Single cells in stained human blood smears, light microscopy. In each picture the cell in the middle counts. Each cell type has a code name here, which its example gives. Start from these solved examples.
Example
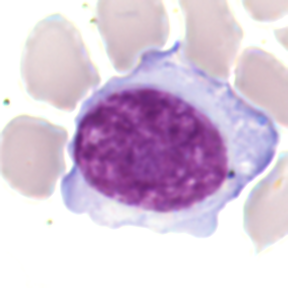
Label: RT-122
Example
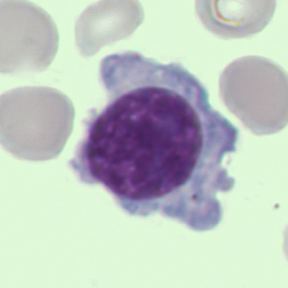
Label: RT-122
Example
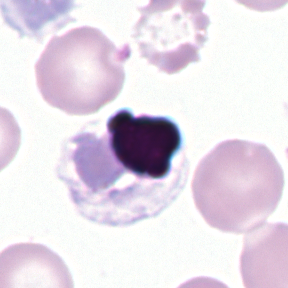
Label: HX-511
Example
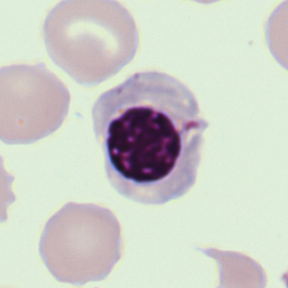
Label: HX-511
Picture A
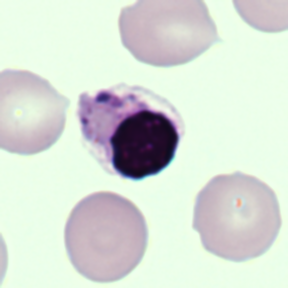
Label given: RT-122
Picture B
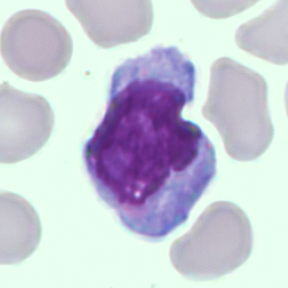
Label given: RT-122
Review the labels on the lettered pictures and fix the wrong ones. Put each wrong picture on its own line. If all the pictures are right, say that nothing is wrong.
A is labelled RT-122; correct label: HX-511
